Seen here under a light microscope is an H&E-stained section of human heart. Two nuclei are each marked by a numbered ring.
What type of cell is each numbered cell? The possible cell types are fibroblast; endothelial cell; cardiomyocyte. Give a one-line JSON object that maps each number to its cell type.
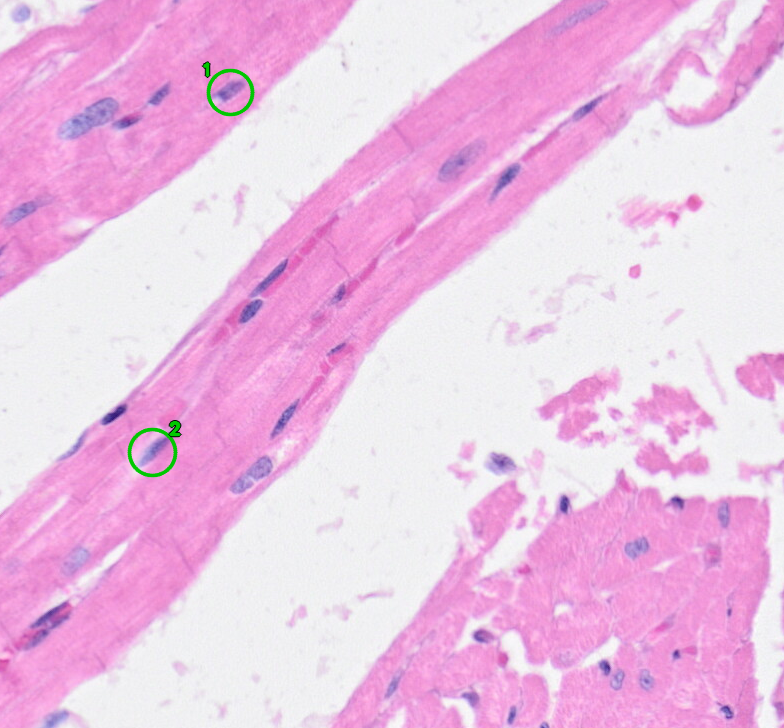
{"1": "endothelial cell", "2": "fibroblast"}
